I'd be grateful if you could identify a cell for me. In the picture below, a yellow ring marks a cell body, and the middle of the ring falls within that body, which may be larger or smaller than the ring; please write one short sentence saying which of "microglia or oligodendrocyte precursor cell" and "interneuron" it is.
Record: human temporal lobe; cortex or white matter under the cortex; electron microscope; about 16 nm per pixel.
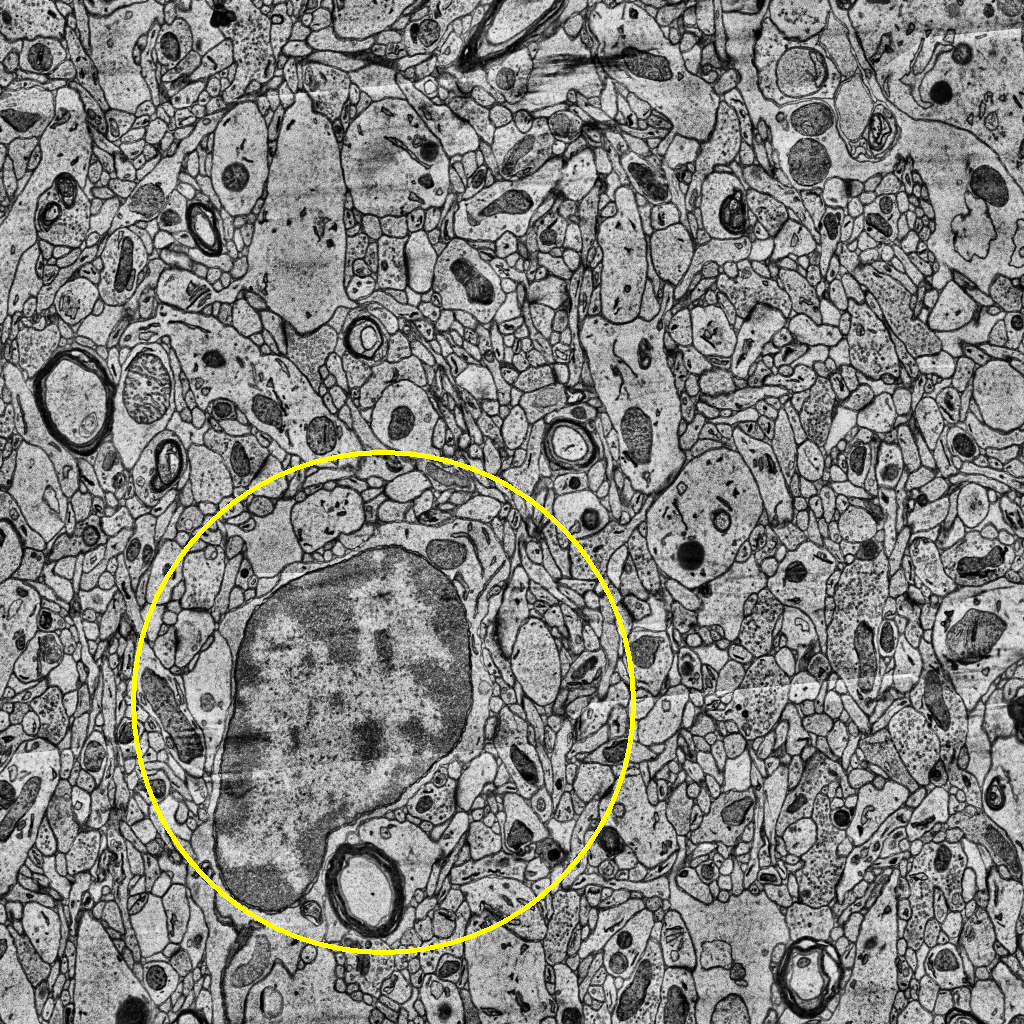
The cell under the ring's centre is a microglial cell or oligodendrocyte precursor cell.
